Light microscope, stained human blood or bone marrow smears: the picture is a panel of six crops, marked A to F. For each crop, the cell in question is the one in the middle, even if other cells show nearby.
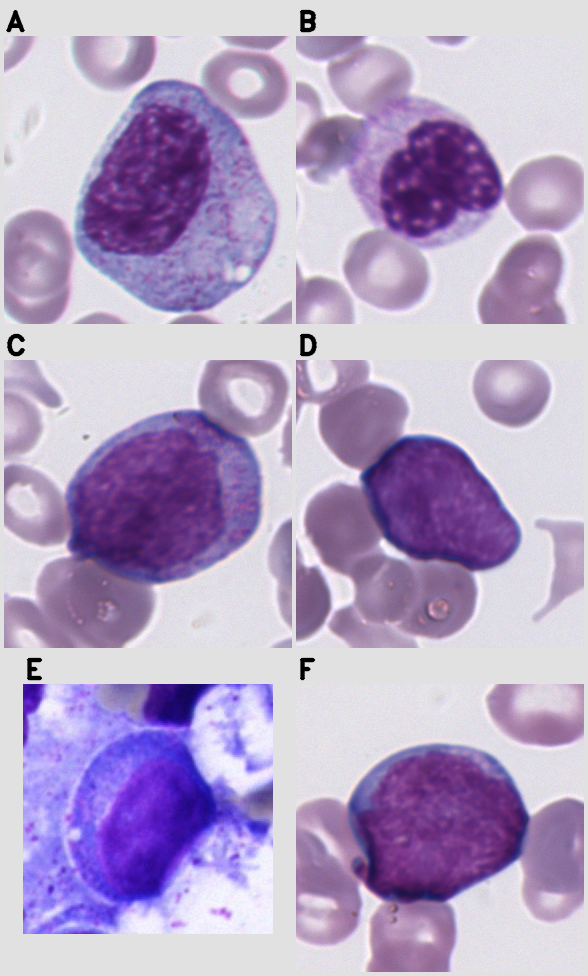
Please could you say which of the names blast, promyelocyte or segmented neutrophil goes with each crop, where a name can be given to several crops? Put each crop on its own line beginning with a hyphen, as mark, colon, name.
- A: promyelocyte
- B: segmented neutrophil
- C: promyelocyte
- D: blast
- E: blast
- F: blast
